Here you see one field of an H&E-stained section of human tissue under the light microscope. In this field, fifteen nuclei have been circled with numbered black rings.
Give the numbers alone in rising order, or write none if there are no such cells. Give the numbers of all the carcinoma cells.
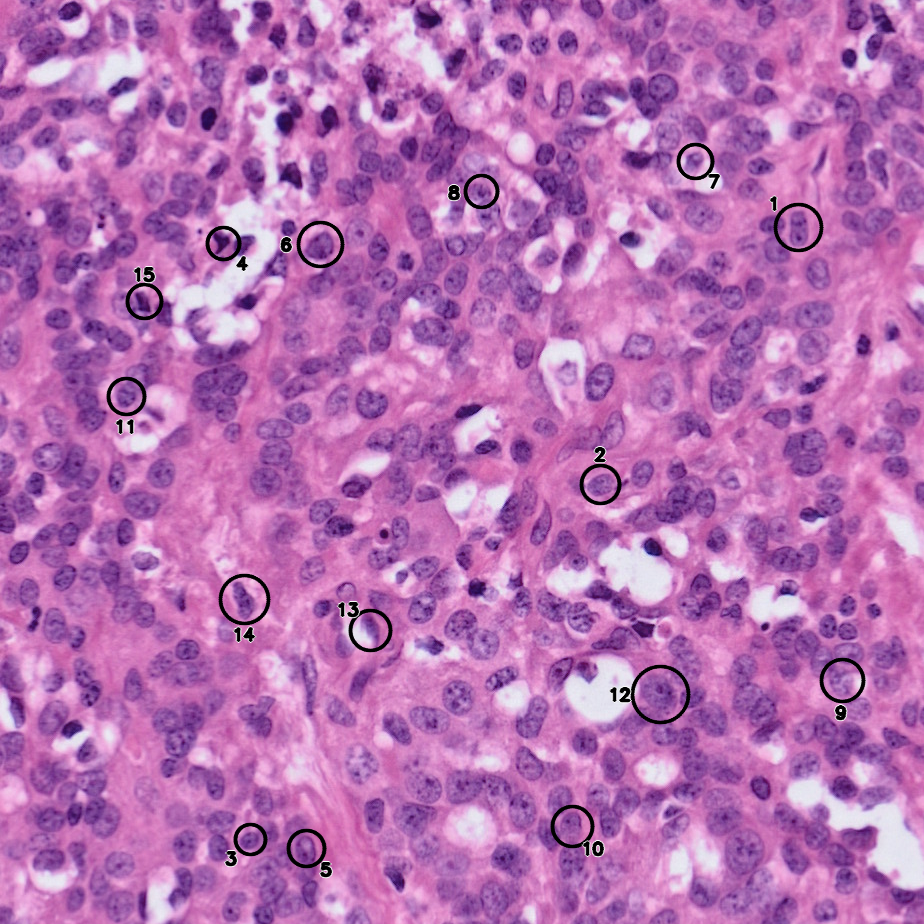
5, 6, 9, 10, 12, 15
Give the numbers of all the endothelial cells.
13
